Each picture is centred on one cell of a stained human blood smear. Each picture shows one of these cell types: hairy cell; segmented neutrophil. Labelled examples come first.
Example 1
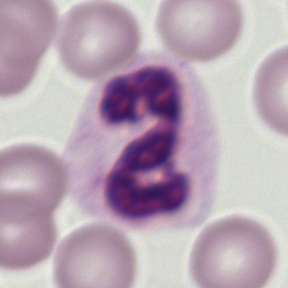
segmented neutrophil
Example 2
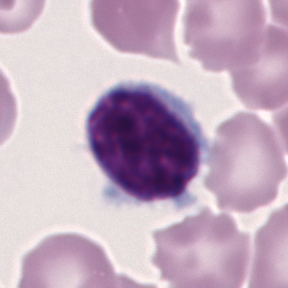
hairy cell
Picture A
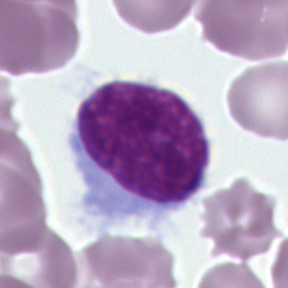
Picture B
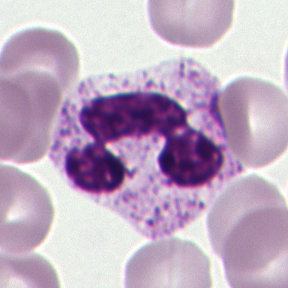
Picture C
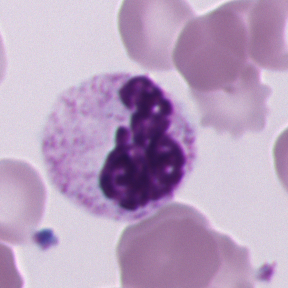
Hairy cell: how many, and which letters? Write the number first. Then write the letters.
1, namely A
